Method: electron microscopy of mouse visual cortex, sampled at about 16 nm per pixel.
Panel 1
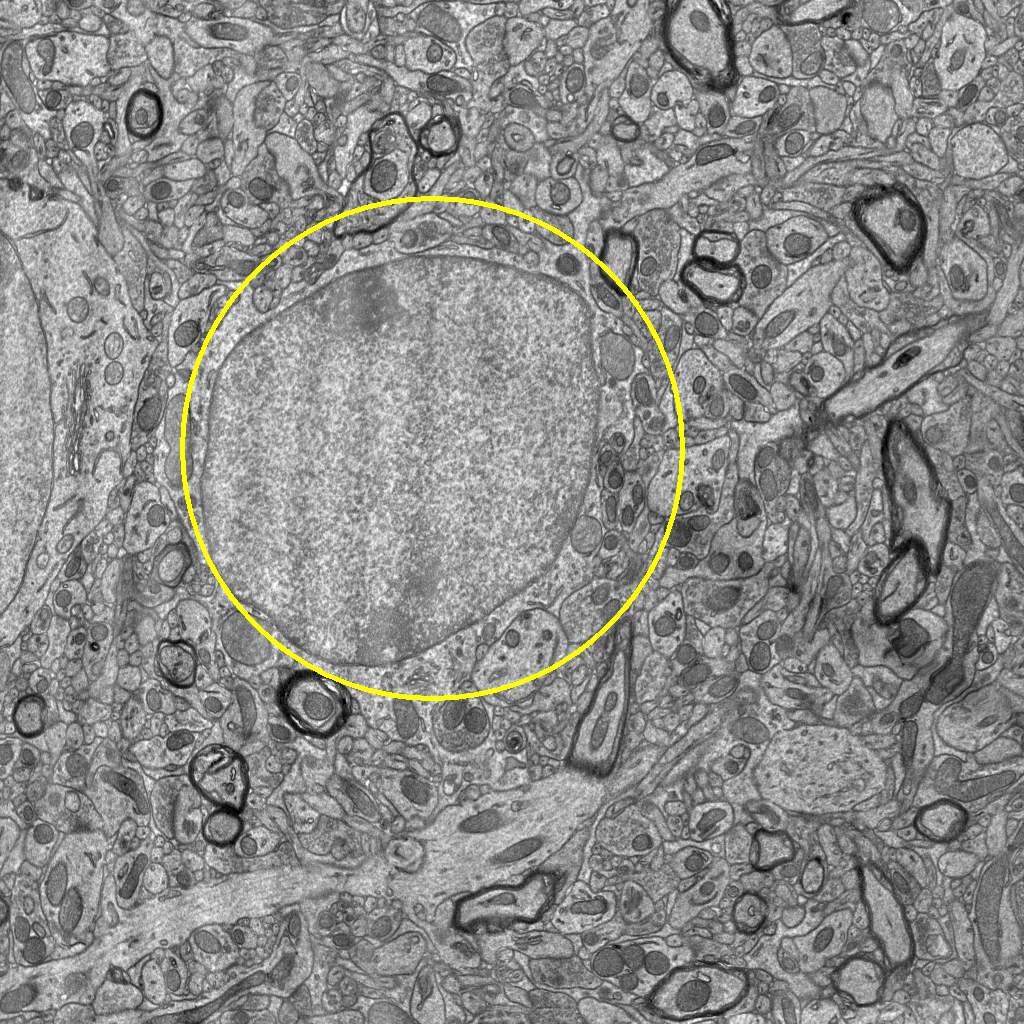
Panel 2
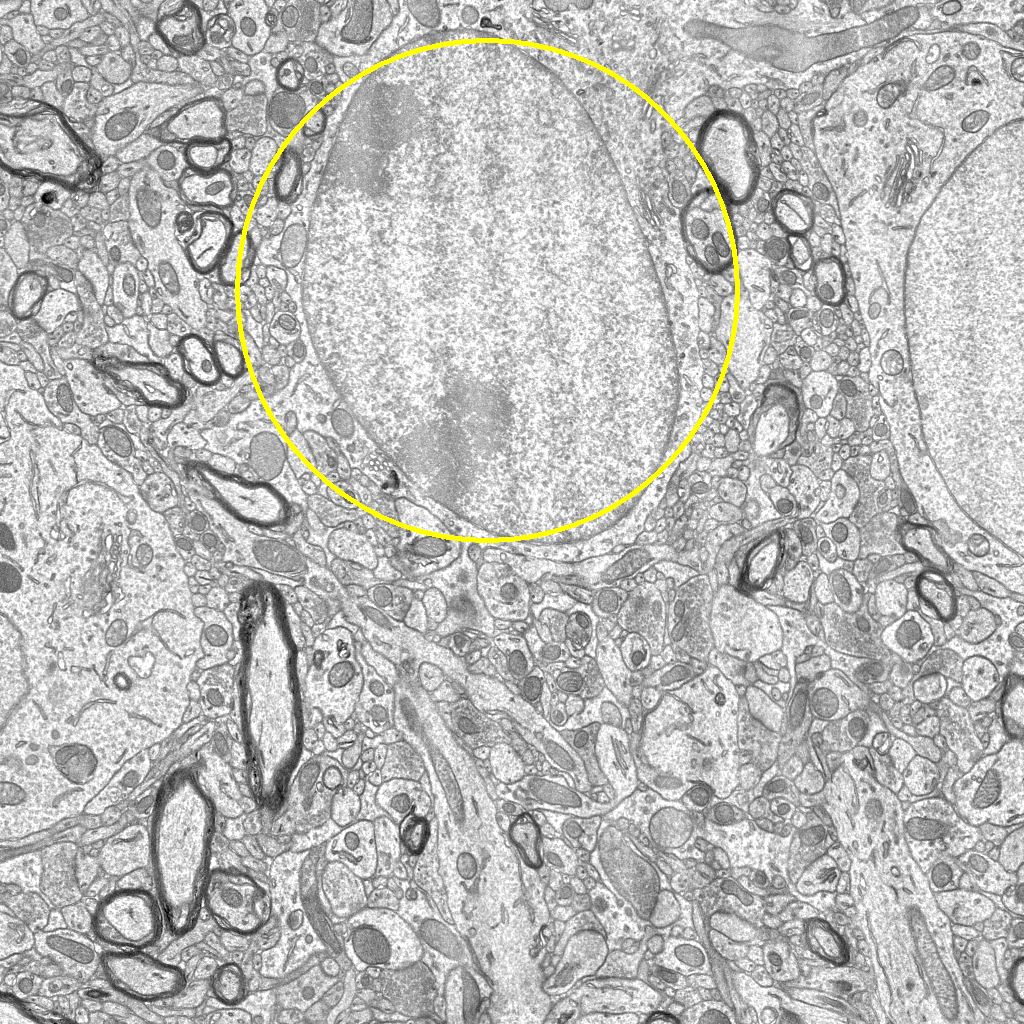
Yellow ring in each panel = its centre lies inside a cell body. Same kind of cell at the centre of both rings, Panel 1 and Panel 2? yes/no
yes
